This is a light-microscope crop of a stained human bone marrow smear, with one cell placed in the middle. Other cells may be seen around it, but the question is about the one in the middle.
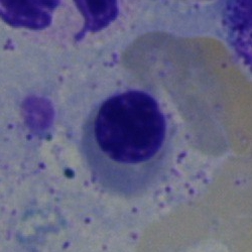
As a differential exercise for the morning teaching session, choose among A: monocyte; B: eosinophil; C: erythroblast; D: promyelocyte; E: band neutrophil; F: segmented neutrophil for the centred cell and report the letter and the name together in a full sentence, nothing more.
With the cell in the middle being an erythroblast, option C is the correct choice.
